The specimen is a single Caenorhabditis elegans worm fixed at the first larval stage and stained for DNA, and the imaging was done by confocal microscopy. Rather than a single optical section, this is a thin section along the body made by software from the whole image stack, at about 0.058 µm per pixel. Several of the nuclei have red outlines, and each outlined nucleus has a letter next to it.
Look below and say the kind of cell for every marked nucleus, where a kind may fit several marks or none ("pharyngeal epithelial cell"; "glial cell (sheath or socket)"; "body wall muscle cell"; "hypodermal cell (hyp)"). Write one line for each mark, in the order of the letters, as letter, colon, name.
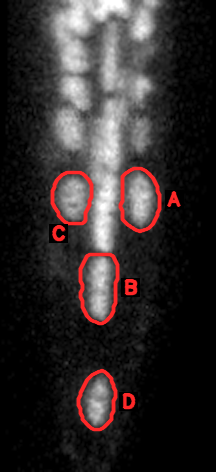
A: body wall muscle cell
B: pharyngeal epithelial cell
C: body wall muscle cell
D: hypodermal cell (hyp)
